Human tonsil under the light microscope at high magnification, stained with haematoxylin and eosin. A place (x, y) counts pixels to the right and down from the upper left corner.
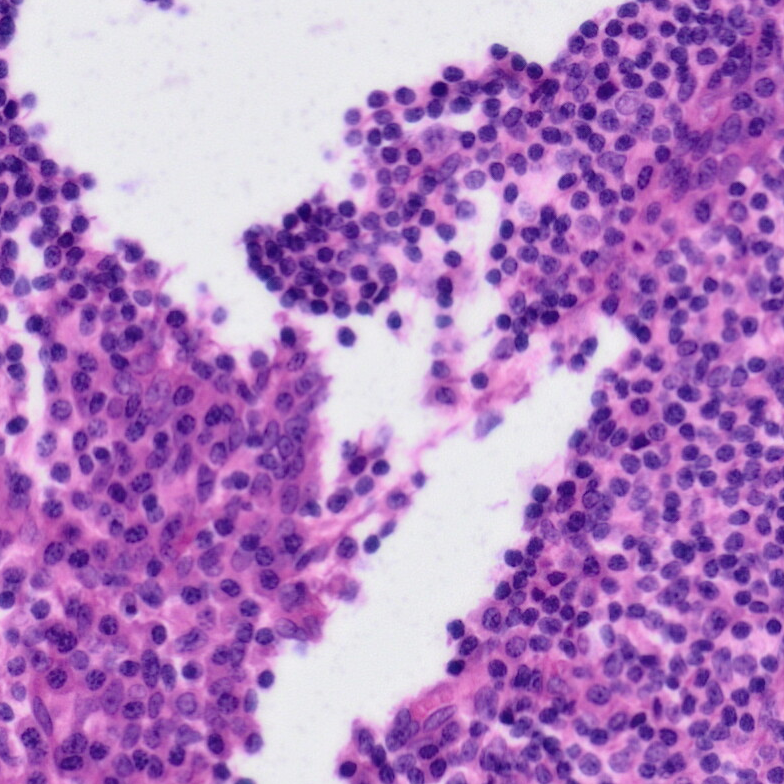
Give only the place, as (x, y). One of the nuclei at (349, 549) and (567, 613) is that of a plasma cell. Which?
(349, 549)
